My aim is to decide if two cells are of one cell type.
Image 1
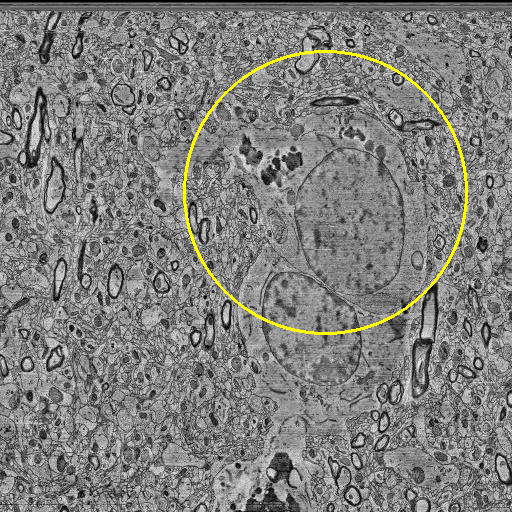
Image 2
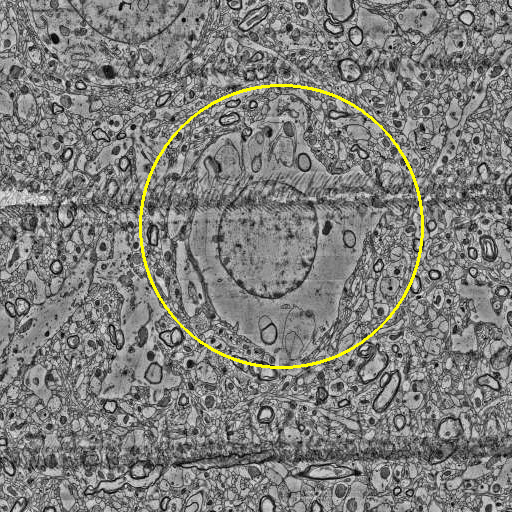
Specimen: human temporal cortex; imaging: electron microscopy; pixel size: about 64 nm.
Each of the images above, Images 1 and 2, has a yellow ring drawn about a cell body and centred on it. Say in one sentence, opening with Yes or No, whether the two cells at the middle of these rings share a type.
Yes, in Images 1 and 2 the cells at the middle of the rings share one type.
